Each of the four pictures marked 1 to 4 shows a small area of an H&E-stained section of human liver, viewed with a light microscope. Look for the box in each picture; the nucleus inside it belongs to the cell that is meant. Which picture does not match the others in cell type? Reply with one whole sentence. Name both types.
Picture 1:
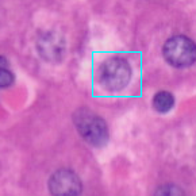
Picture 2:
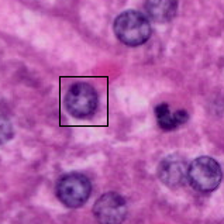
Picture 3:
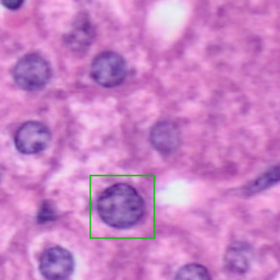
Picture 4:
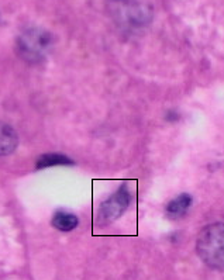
The others show hepatocytes, but picture 4 shows a Kupffer cell.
